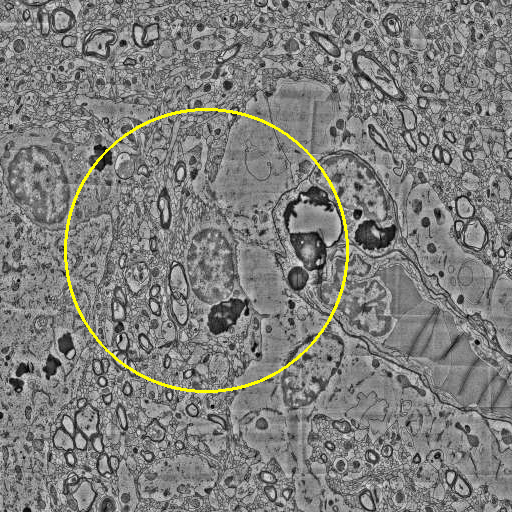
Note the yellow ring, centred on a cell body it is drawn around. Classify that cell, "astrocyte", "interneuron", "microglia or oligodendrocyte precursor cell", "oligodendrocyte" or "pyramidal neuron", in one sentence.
The cell the ring is centred on is an oligodendrocyte.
